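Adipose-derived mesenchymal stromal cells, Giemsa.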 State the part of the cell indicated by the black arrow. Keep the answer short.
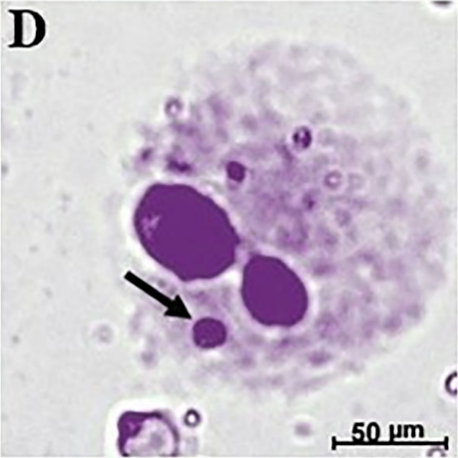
micronucleus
